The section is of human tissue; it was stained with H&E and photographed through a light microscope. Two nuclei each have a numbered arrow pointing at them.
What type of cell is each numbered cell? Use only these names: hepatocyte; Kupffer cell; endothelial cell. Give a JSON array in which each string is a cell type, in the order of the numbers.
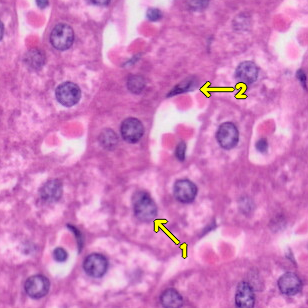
["hepatocyte", "endothelial cell"]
